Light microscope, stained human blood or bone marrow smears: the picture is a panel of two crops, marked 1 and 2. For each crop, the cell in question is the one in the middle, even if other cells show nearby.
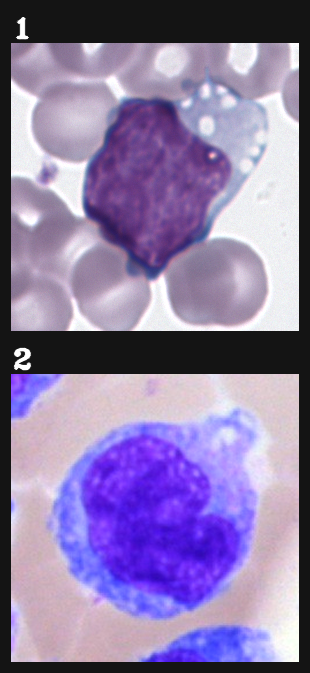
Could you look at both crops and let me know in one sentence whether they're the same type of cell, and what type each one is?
No, cell 1 is a blast, and cell 2 is a monocyte.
